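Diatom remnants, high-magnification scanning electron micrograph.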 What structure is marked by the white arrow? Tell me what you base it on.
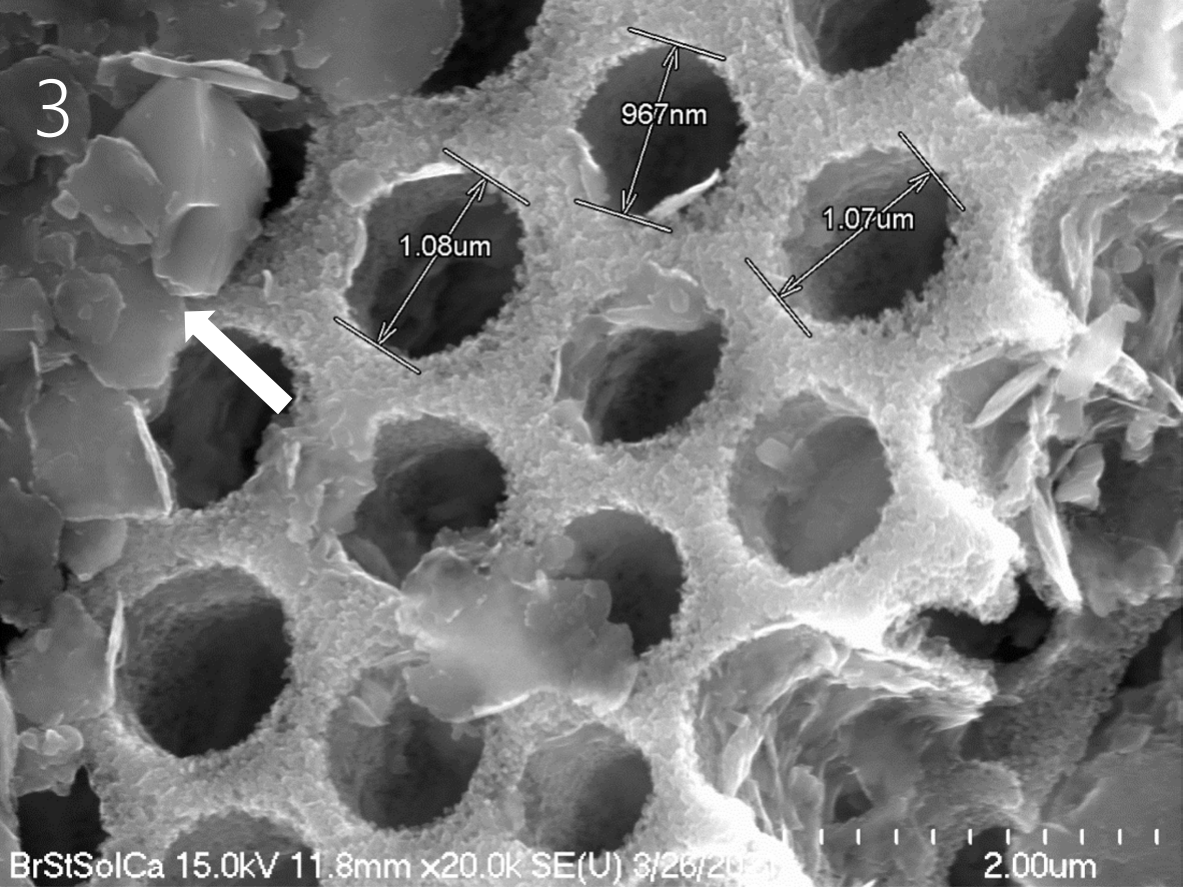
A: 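Thin, flat, sheet-like flakes lie stacked and overlapping at the upper left. The flakes have smooth surfaces and irregular rounded edges, unlike the porous plate beside them.
Conclusion: Plate-shaped clay minerals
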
